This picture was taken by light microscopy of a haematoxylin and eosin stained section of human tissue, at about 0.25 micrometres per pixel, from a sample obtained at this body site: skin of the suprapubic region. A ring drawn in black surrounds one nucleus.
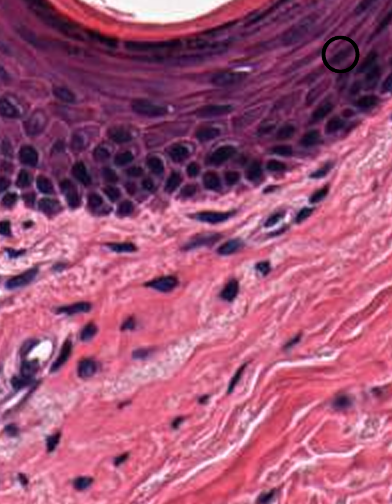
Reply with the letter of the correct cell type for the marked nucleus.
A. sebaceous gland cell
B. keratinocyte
B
